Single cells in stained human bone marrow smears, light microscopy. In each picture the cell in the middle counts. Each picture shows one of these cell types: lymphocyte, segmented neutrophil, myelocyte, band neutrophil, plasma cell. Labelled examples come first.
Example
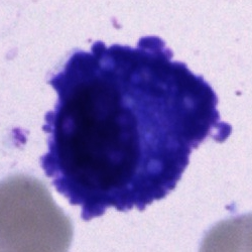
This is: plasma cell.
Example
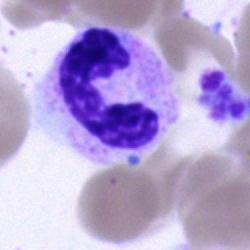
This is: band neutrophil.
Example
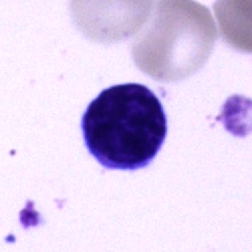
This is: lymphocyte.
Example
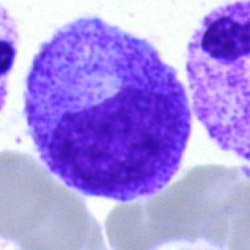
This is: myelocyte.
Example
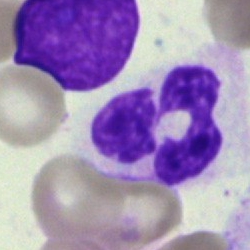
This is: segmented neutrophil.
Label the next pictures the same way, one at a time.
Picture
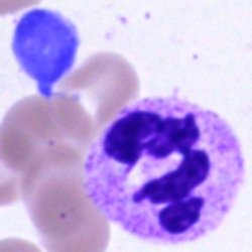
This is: segmented neutrophil.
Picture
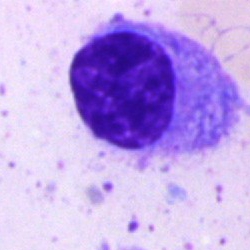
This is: plasma cell.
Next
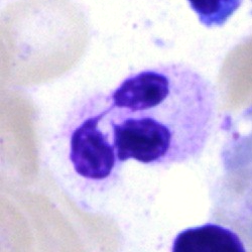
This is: segmented neutrophil.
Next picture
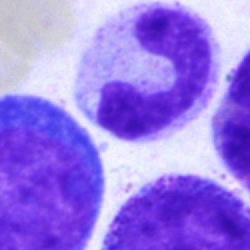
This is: band neutrophil.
